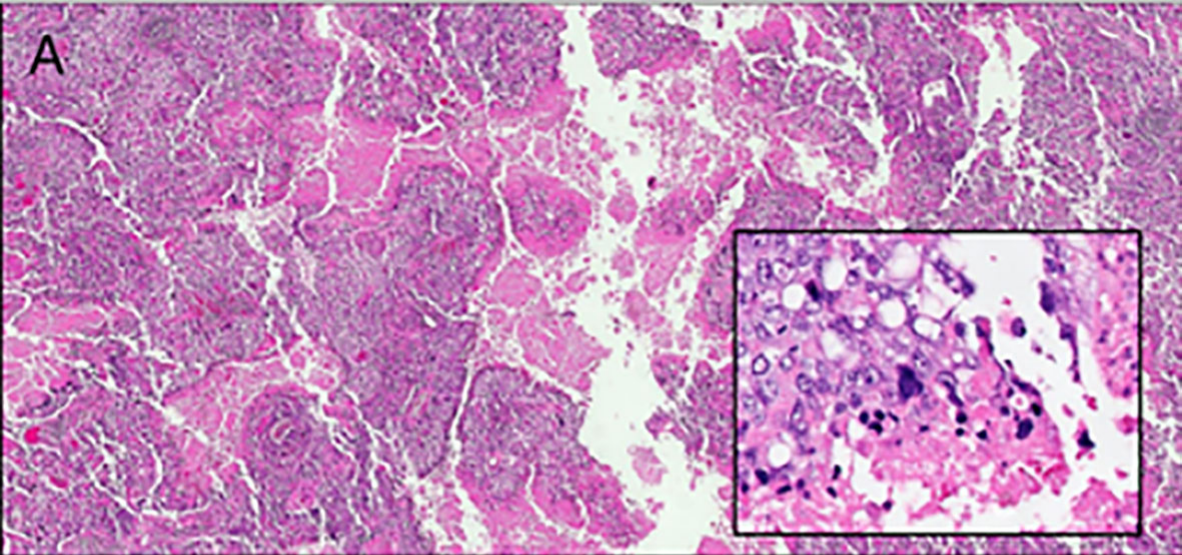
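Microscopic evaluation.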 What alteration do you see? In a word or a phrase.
Extensively necrotic and hemorrhagic tumor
